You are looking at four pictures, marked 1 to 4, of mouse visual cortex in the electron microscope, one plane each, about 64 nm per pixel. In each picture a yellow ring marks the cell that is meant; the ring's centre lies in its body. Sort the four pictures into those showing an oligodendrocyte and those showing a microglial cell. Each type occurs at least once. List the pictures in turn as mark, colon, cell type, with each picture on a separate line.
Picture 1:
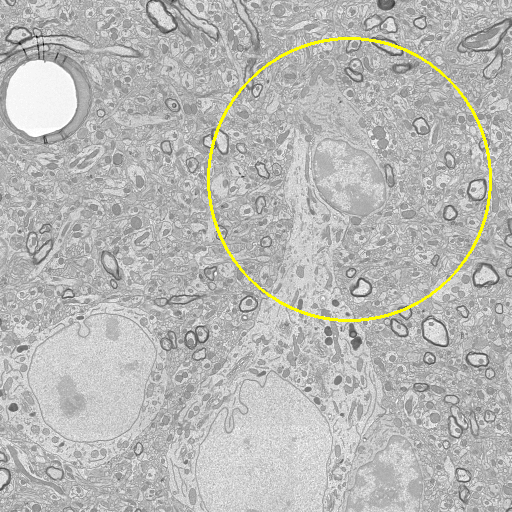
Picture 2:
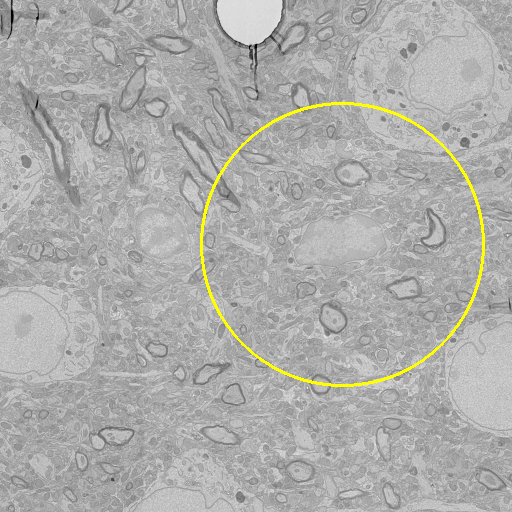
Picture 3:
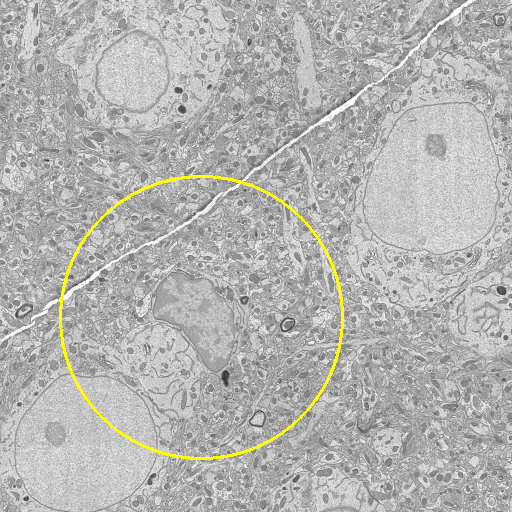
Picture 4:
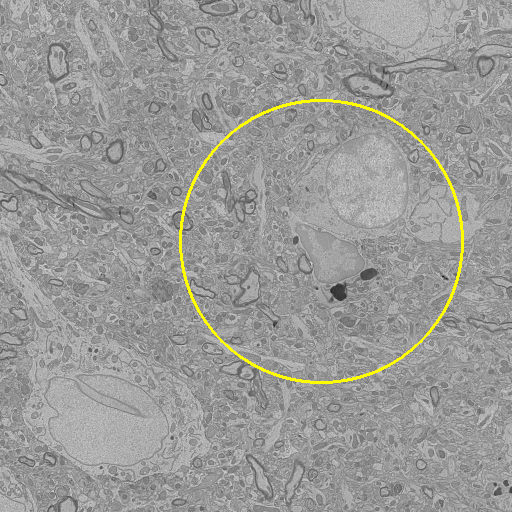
1: oligodendrocyte
2: microglial cell
3: microglial cell
4: microglial cell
